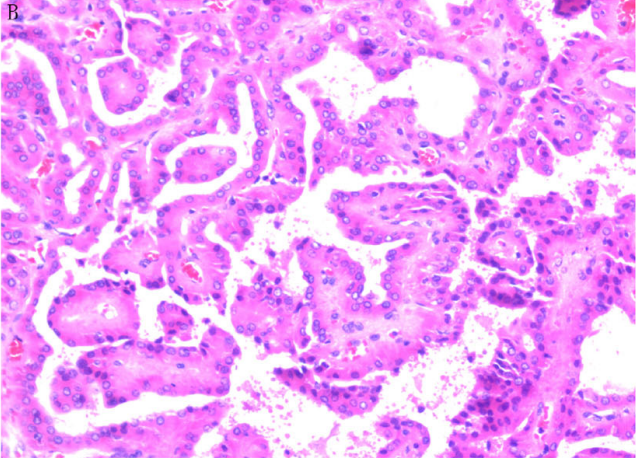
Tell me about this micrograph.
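This is a papillary tumor in which each papilla is covered by a single layer of cuboidal cells with abundant pink, finely granular cytoplasm. The small round nuclei sit toward the free, luminal edge of the cells rather than at their base, do not overlap one another, have smooth contours and lack prominent nucleoli. Red blood cells can be seen in the slender cores of some papillae.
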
